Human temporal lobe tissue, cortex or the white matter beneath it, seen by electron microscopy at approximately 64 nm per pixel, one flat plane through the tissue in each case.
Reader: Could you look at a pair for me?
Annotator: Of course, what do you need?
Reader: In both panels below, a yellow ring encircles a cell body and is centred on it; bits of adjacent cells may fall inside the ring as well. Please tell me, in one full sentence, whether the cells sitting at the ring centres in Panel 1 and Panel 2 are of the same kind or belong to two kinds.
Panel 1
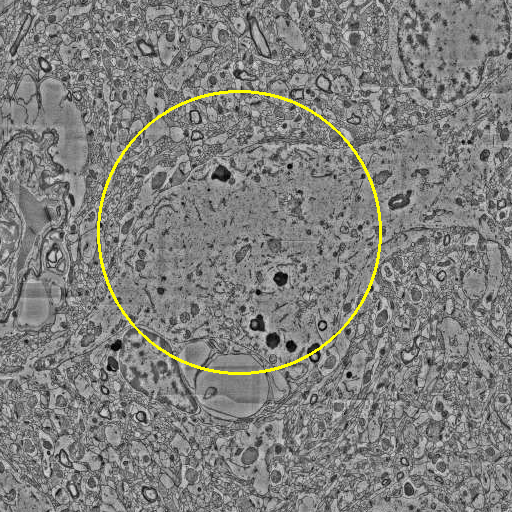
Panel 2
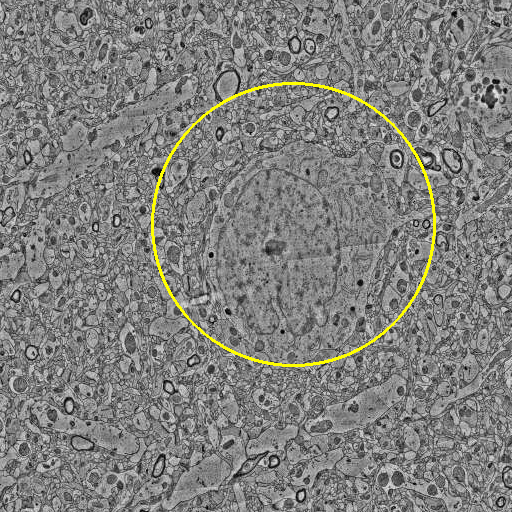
The cell at the ring's centre in Panel 1 and the one in Panel 2 belong to two kinds.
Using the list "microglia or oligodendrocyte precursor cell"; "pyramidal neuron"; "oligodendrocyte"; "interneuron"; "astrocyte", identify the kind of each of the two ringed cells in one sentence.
The first is a pyramidal neuron and the second is an interneuron.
